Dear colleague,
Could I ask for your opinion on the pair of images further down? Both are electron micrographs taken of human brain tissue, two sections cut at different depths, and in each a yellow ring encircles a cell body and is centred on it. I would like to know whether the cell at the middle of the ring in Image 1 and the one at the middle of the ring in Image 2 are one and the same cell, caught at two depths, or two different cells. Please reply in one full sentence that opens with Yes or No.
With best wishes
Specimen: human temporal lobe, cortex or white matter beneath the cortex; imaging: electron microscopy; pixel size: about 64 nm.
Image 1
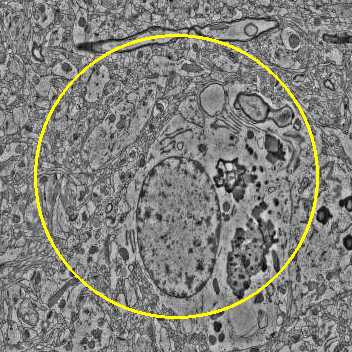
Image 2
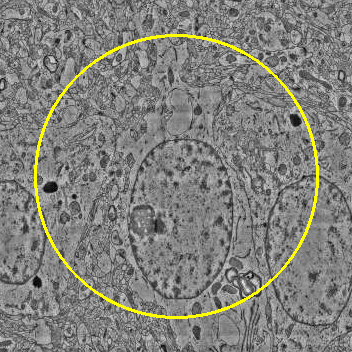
Yes, the two rings belong to one cell, not to two.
